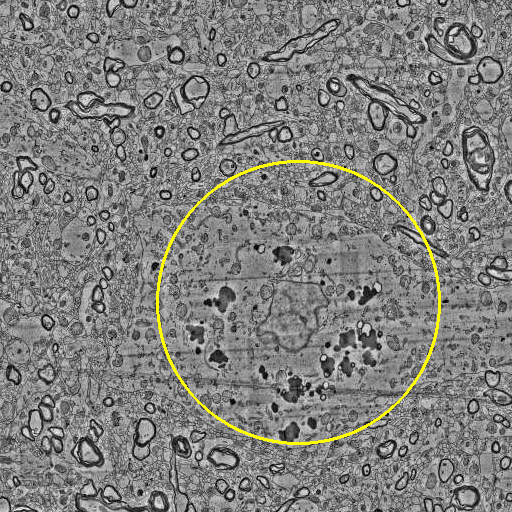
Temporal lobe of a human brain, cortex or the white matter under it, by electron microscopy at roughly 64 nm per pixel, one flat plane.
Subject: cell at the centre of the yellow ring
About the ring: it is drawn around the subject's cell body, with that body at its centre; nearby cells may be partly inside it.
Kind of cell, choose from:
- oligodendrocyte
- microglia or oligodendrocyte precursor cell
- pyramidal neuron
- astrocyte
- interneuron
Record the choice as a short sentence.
The subject cell is a pyramidal neuron.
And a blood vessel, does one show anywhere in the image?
No, a blood vessel is absent from this picture.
